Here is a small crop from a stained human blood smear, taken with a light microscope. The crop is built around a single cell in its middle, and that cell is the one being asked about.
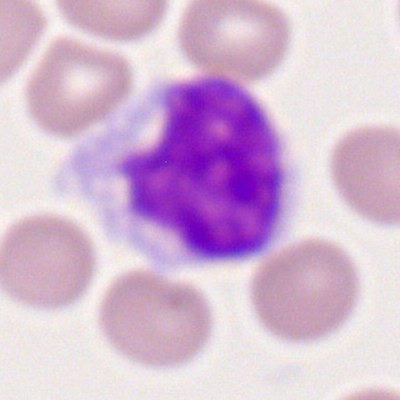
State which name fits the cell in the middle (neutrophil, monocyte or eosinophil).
monocyte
